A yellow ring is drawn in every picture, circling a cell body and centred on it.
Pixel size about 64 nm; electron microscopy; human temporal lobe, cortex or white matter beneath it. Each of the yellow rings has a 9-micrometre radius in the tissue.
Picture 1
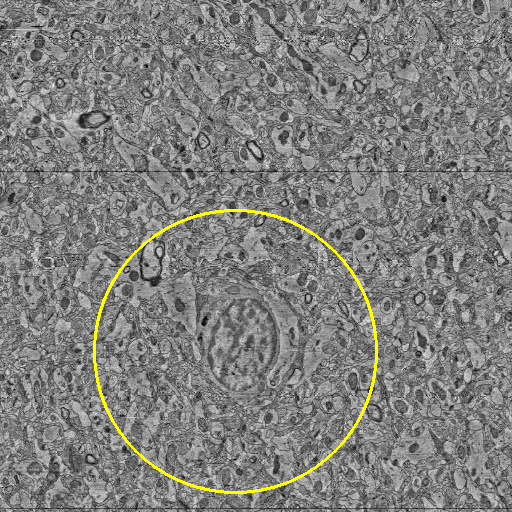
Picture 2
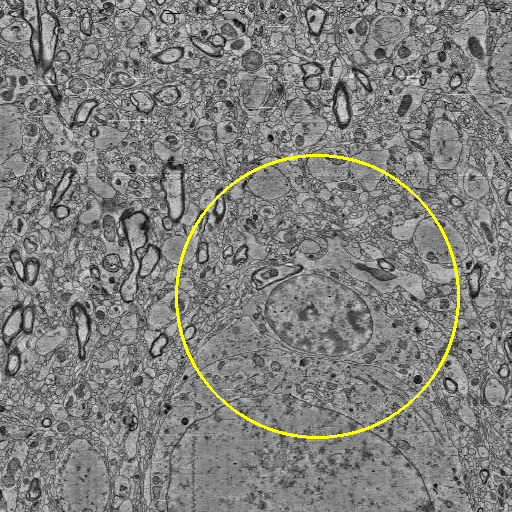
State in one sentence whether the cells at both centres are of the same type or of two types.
The cells at the two ring centres, one per picture, are of the same type.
